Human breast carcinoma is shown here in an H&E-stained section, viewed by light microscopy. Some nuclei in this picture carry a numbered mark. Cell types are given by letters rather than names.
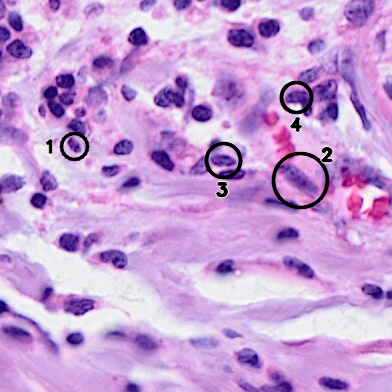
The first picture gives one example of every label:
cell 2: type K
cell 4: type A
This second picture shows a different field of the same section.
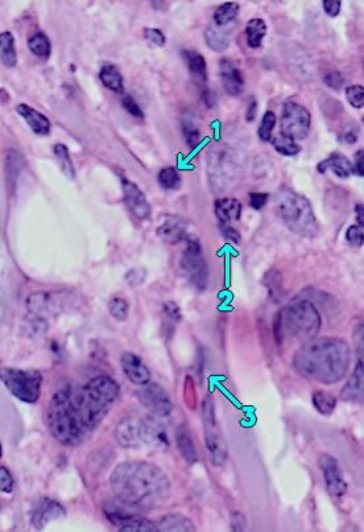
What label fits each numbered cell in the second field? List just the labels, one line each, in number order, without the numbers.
type A
type A
type K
